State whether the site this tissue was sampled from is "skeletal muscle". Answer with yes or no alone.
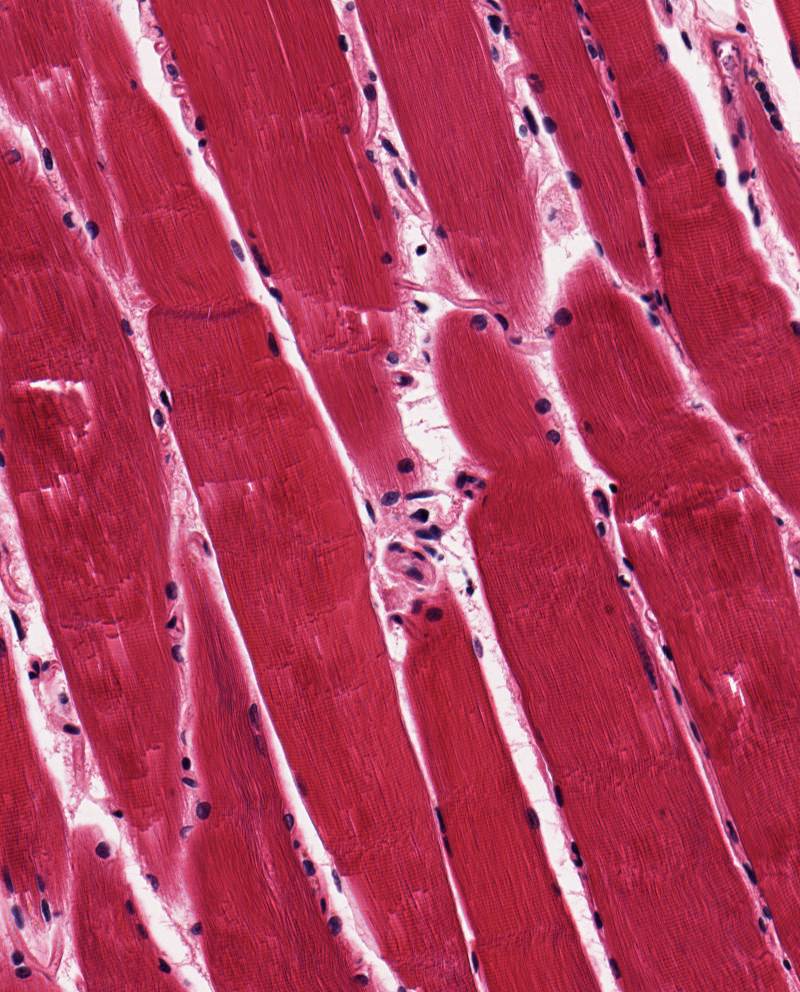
yes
